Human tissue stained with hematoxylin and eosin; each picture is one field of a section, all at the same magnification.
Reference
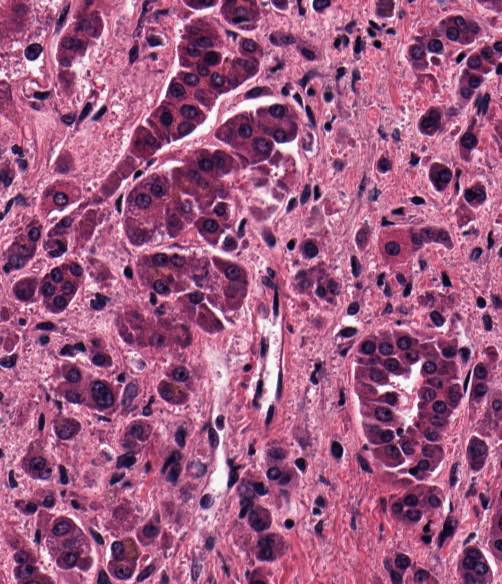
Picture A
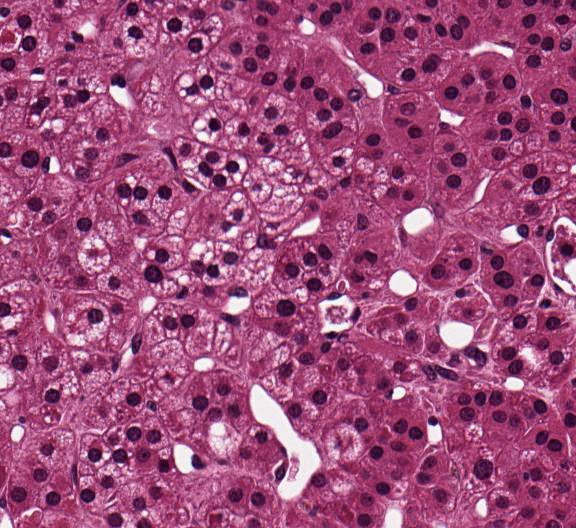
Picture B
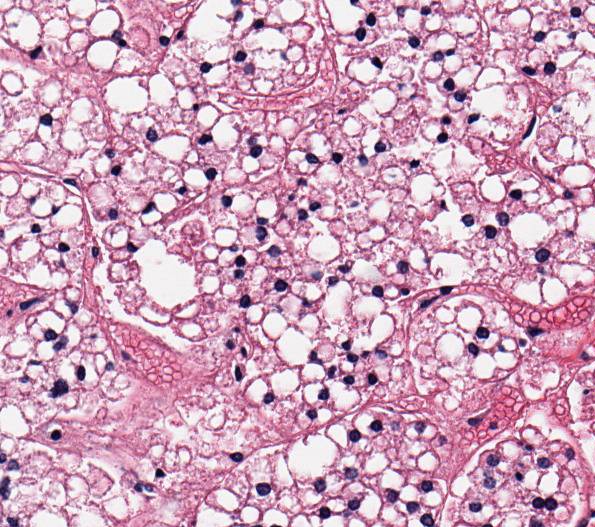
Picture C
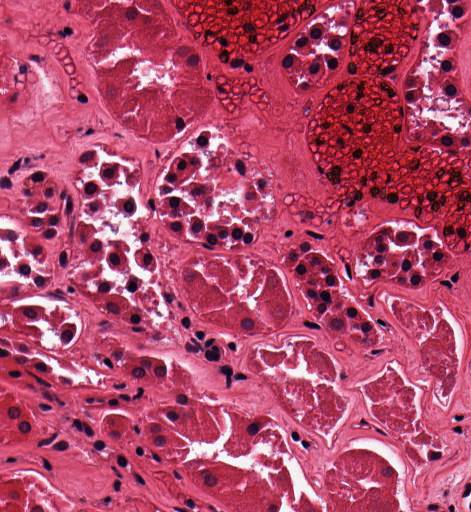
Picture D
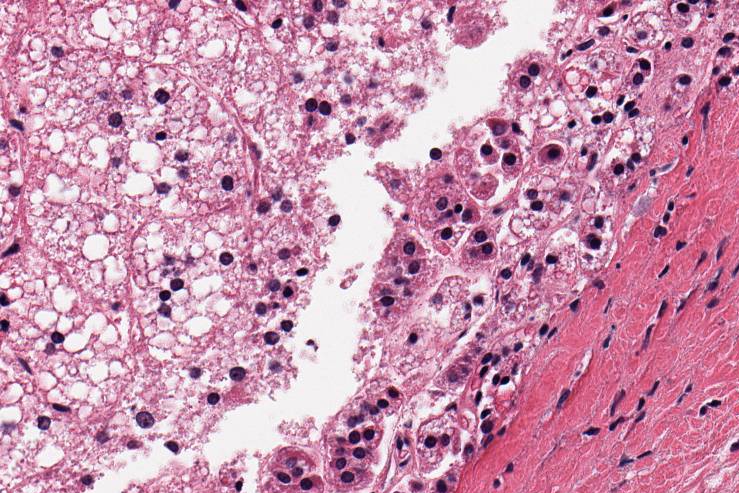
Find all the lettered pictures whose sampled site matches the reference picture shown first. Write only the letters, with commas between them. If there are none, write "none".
A, B, D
